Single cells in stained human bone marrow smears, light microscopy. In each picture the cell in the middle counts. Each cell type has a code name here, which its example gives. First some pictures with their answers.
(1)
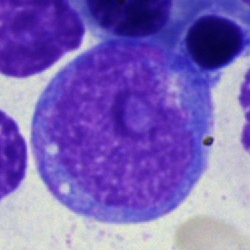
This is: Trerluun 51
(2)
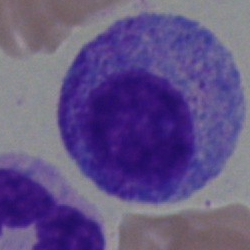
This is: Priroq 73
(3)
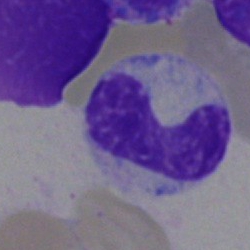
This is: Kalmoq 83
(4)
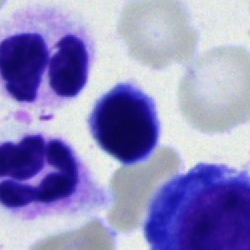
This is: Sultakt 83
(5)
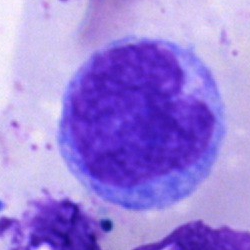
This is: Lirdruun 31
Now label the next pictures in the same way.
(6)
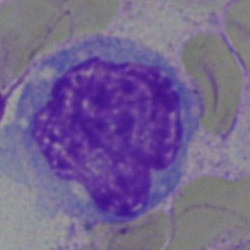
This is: Lirdruun 31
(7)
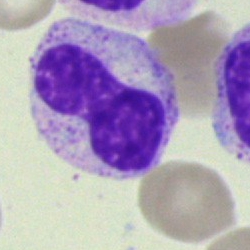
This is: Kalmoq 83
